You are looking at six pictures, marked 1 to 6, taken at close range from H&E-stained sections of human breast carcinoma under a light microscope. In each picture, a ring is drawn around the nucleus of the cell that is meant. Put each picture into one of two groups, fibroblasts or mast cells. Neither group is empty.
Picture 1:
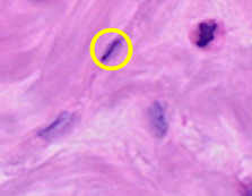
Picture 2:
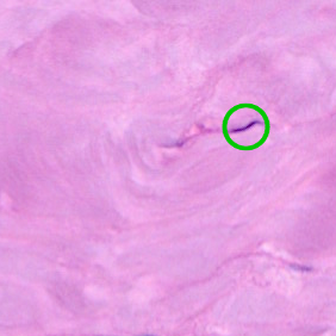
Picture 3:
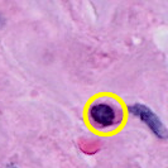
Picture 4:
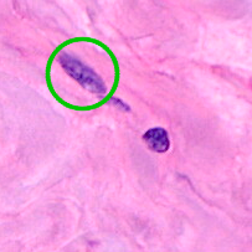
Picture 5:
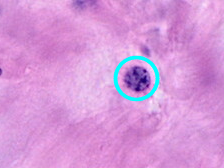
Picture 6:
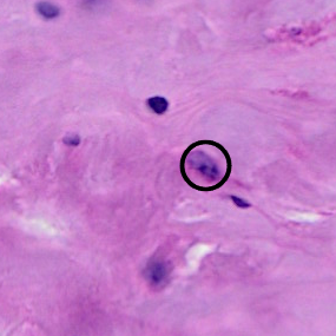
1: fibroblast
2: fibroblast
3: mast cell
4: fibroblast
5: mast cell
6: mast cell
